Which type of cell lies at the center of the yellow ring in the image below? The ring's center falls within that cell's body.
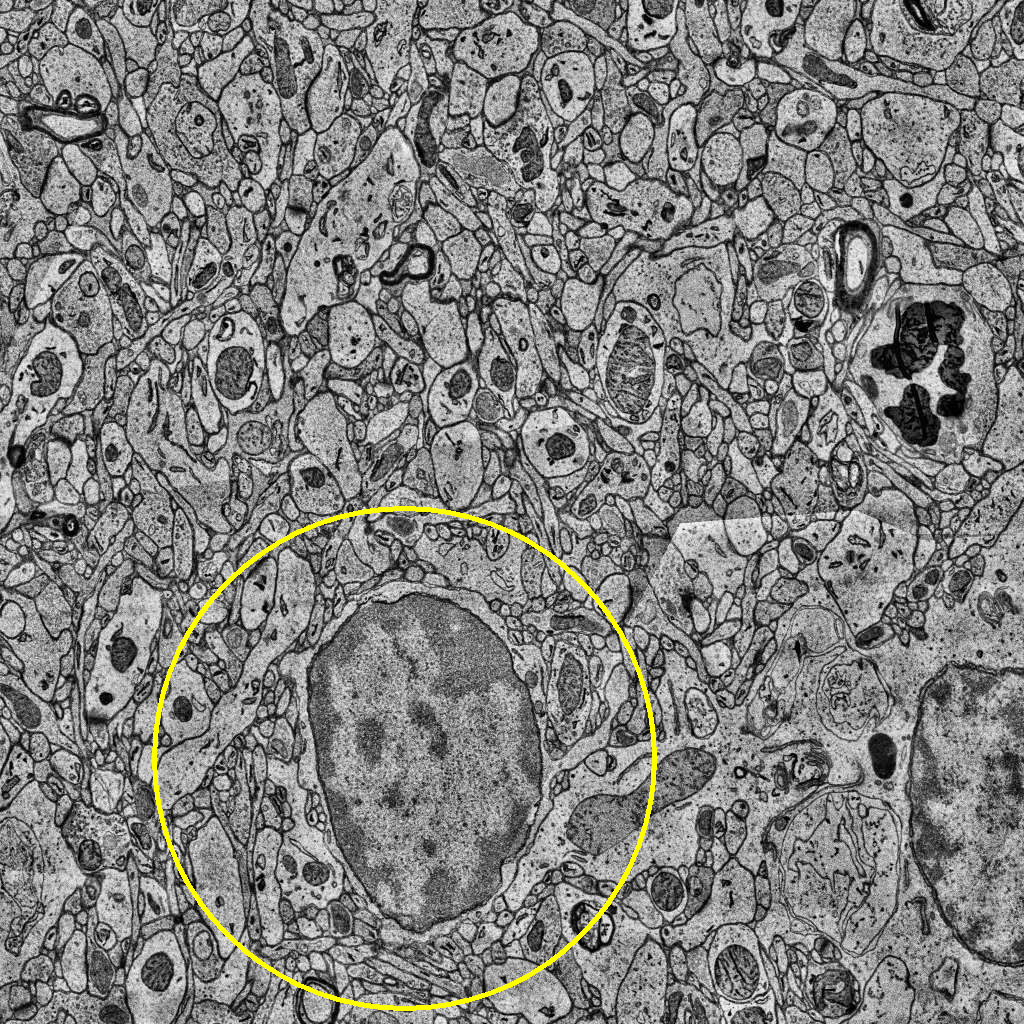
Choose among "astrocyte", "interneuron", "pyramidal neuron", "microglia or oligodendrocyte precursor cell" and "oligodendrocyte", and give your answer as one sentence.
The cell body at the center belongs to a microglial cell or oligodendrocyte precursor cell.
